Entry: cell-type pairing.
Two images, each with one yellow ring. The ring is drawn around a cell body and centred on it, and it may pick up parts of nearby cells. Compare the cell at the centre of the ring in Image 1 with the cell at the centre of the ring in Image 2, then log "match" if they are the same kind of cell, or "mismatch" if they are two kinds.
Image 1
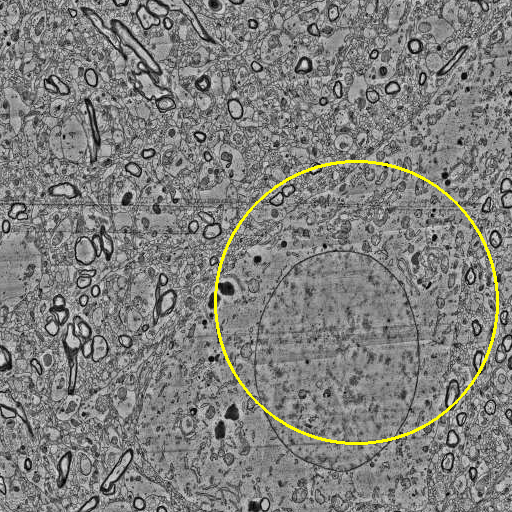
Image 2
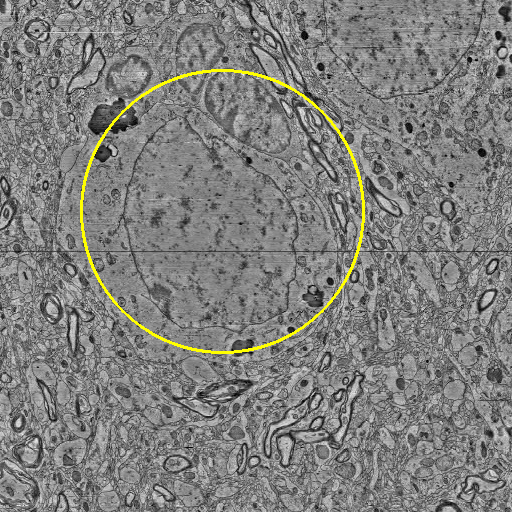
match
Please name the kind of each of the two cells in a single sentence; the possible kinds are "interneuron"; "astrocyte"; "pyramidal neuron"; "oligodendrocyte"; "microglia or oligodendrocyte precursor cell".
The first and the second cell are each a pyramidal neuron.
